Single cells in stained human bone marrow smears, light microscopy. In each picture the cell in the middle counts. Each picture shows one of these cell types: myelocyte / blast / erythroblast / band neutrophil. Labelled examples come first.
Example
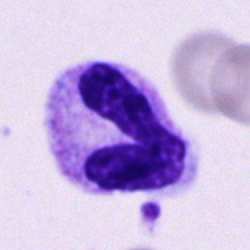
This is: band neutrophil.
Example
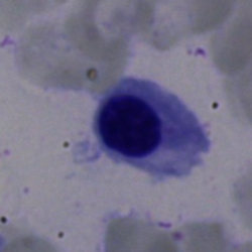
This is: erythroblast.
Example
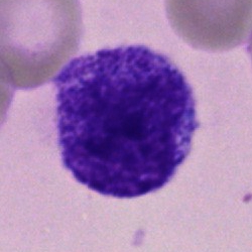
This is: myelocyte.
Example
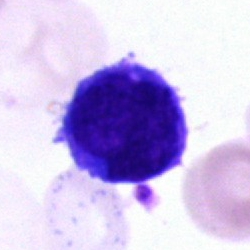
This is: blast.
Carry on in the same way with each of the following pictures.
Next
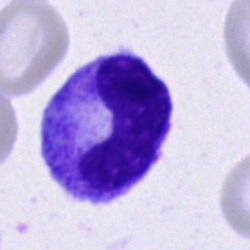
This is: band neutrophil.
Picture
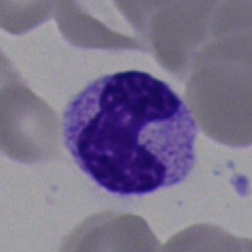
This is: band neutrophil.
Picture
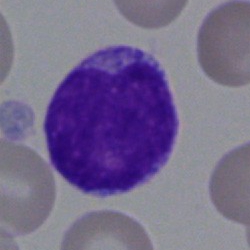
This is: blast.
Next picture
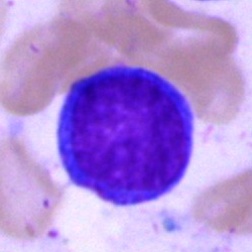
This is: blast.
